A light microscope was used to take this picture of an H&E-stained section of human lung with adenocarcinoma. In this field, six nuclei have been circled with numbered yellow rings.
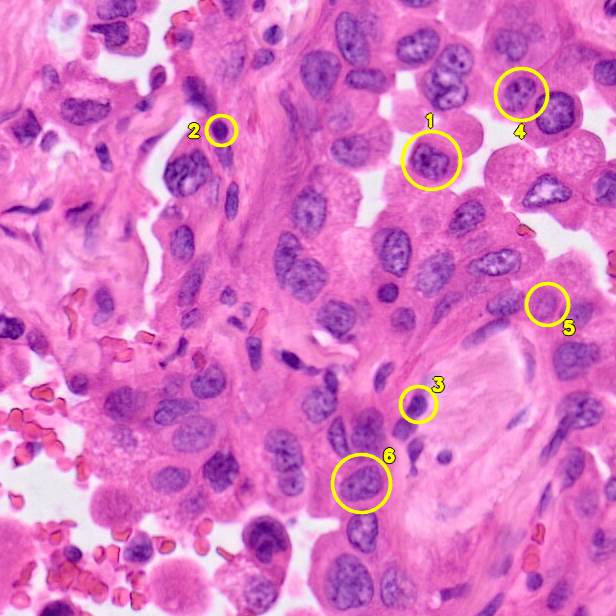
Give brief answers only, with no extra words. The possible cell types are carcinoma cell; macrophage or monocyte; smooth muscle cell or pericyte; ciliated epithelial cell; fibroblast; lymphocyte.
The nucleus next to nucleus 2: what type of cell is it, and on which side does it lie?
a macrophage or monocyte below nucleus 2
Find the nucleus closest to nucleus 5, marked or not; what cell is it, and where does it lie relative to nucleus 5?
a carcinoma cell, to the right of nucleus 5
